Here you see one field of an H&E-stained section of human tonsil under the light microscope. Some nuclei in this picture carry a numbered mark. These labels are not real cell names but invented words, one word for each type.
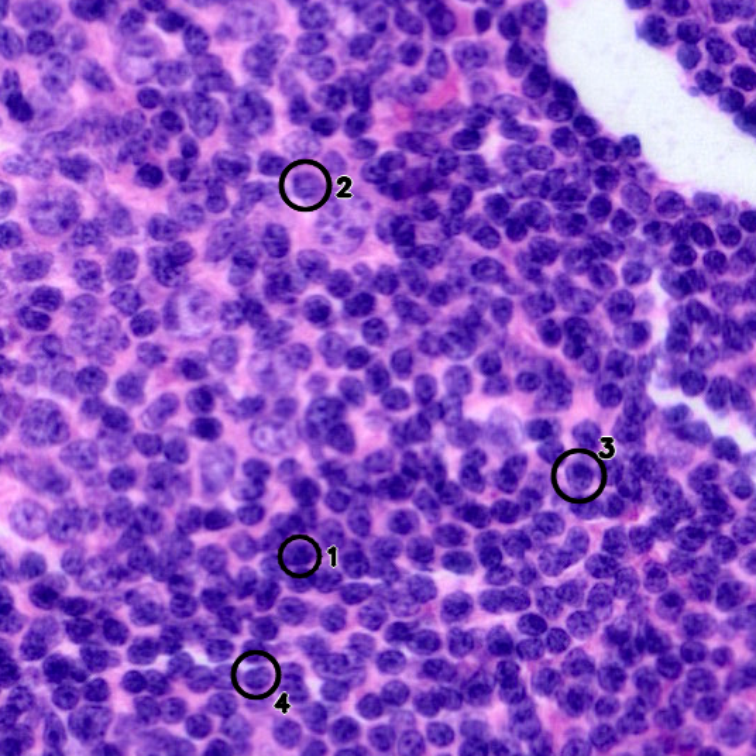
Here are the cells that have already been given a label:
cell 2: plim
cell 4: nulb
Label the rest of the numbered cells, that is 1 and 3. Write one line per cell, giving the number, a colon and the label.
1: nulb
3: nulb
